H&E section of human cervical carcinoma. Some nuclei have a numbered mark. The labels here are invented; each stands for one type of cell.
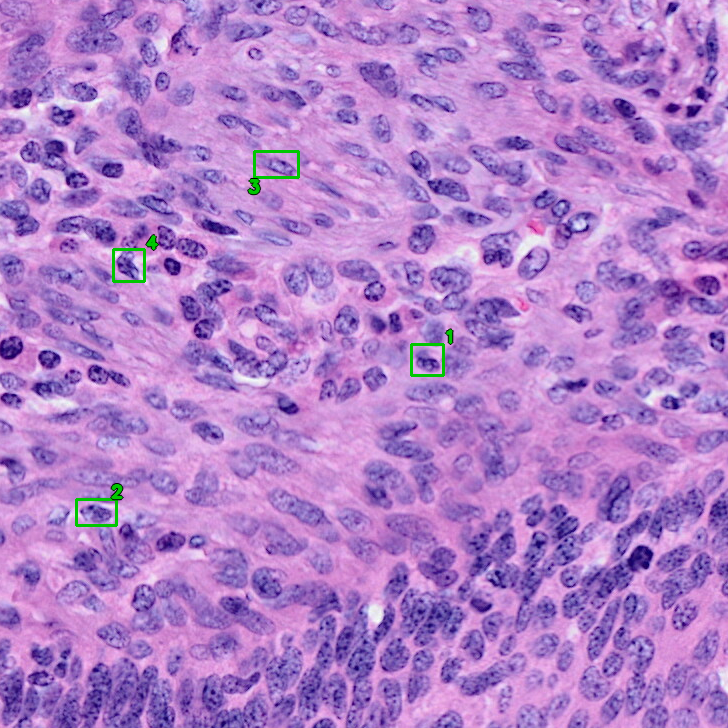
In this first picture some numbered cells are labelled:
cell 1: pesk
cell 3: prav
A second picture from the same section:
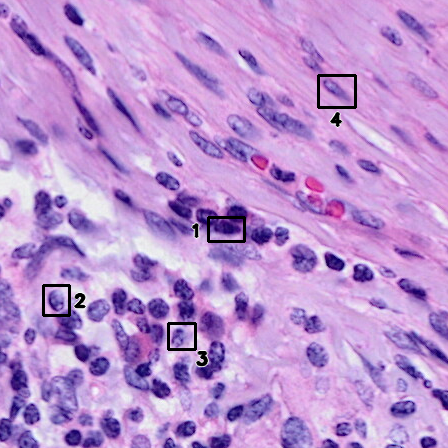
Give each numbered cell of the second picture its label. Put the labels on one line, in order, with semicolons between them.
pesk; pesk; pesk; prav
